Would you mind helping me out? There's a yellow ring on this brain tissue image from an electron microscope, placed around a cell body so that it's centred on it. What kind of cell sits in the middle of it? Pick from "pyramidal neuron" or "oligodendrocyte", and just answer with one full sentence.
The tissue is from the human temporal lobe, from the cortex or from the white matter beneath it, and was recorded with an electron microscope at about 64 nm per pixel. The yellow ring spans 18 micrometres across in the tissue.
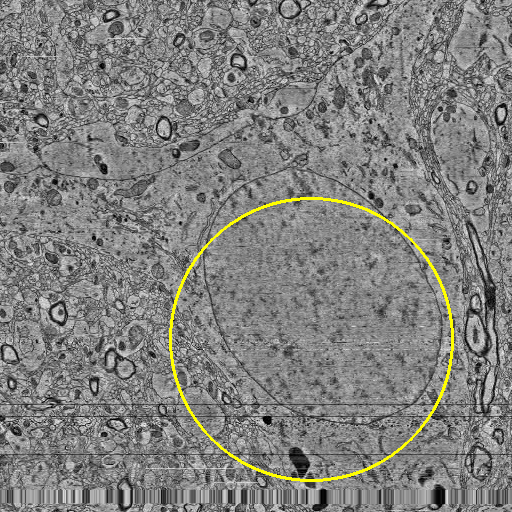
What sits in the middle of that yellow ring is a pyramidal neuron, from your choices.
